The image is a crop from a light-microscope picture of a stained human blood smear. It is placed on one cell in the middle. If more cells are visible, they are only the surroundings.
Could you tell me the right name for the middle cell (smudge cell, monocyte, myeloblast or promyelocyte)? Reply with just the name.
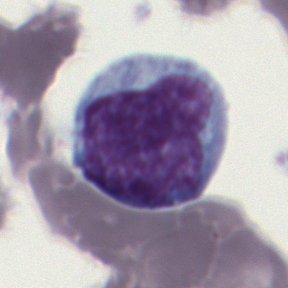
monocyte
